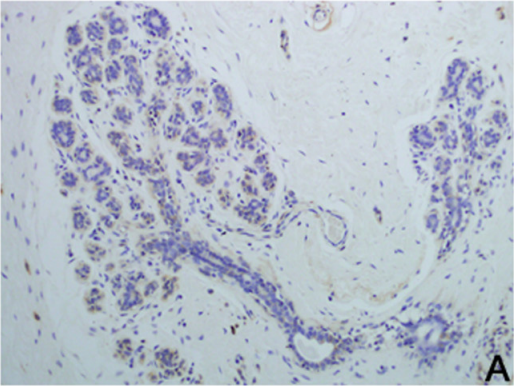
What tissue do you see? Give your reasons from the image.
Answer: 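Lobules of small regular acini and a duct lie in pale fibrous stroma. The epithelial cells have small uniform nuclei and little cytoplasm.
Answer: non-tumor tissue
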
